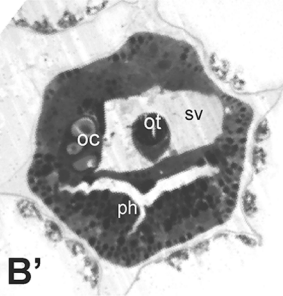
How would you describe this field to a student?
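A cross-section of a larval body showing a large clear sensory vesicle in the upper part, containing a darkly stained rounded otolith and, at one side, an ocellus with pale rounded inclusions. Below the vesicle runs the slit-like lumen of the pharynx, lined by a thick wall of densely packed cells with dark round nuclei. Rounded test cells lie outside, along the thin envelope around the body.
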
